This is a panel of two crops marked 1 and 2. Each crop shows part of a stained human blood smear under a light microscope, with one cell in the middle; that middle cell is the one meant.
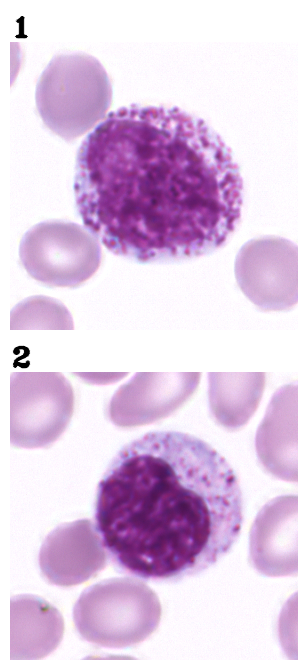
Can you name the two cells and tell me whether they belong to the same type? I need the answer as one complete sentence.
Yes, it is metamyelocytes that sit at the centre of both crops.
